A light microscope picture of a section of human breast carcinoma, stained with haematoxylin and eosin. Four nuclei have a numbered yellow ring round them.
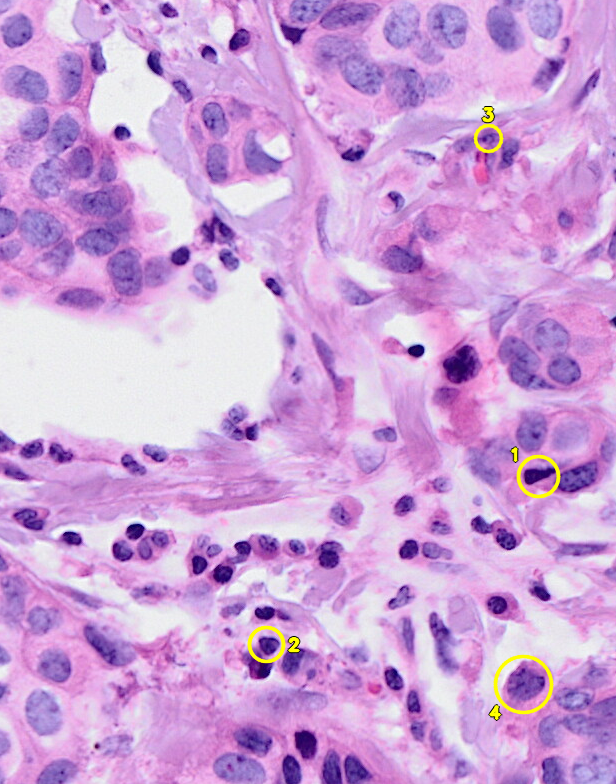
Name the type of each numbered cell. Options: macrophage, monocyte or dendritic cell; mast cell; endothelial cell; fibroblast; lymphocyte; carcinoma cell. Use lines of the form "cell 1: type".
cell 1: carcinoma cell
cell 2: lymphocyte
cell 3: endothelial cell
cell 4: carcinoma cell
